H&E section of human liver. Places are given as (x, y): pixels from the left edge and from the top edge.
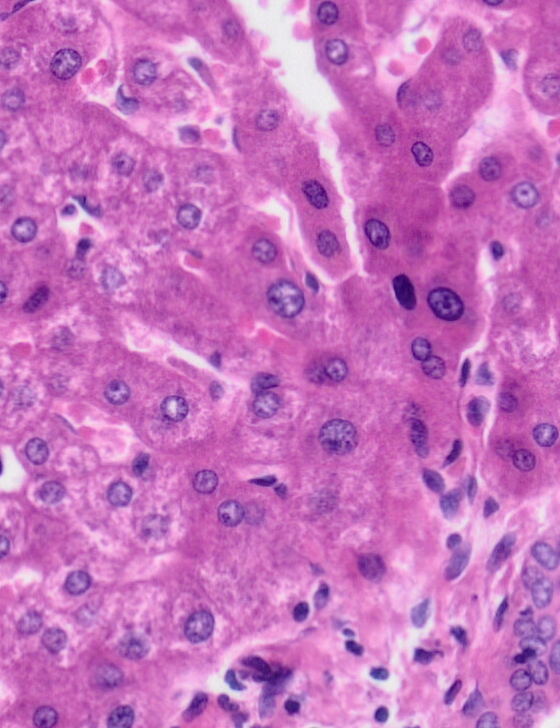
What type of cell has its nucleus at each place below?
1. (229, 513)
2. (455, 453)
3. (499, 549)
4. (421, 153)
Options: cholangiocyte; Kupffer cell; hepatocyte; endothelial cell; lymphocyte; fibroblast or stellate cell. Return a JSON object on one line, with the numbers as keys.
{"1": "hepatocyte", "2": "fibroblast or stellate cell", "3": "fibroblast or stellate cell", "4": "hepatocyte"}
